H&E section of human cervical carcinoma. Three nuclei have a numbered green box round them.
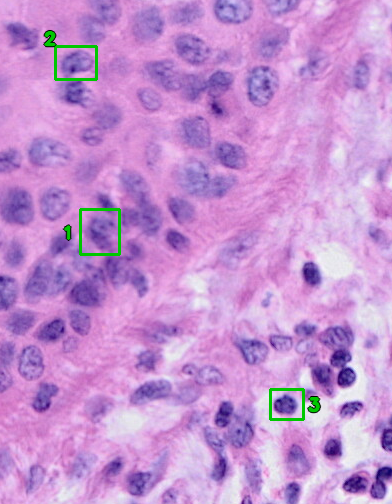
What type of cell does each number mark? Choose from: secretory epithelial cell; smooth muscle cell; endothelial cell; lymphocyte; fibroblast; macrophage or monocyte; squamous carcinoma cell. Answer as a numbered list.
1. squamous carcinoma cell
2. squamous carcinoma cell
3. lymphocyte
